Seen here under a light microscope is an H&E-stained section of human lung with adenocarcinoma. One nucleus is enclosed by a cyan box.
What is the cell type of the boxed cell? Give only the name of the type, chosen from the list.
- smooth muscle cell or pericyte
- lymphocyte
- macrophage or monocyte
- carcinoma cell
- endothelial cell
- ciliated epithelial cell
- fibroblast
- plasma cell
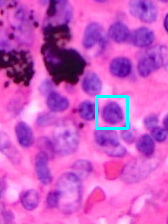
lymphocyte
